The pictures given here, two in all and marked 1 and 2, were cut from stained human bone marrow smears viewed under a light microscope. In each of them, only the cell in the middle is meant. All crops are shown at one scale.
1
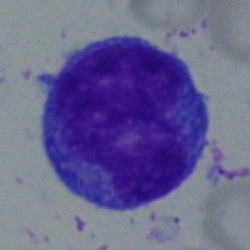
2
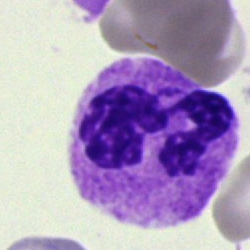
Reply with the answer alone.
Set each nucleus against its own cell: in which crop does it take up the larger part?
1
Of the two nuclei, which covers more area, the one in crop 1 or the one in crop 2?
1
